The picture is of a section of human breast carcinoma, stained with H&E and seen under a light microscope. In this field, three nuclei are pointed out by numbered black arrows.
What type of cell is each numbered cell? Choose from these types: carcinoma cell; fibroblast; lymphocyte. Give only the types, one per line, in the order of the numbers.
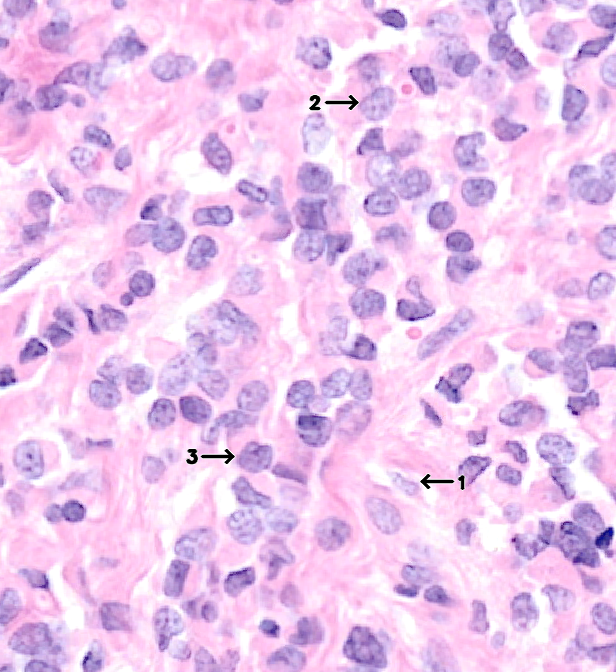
fibroblast
carcinoma cell
carcinoma cell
